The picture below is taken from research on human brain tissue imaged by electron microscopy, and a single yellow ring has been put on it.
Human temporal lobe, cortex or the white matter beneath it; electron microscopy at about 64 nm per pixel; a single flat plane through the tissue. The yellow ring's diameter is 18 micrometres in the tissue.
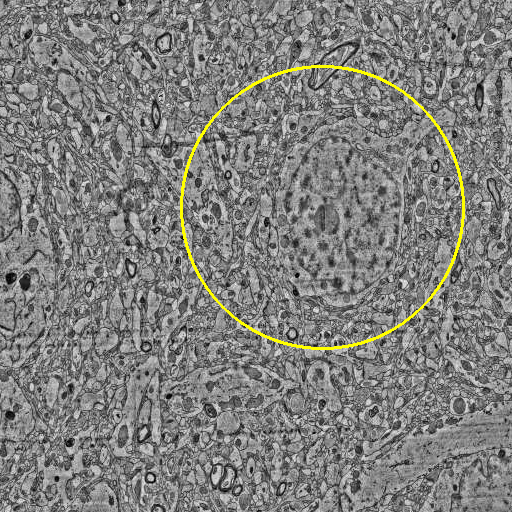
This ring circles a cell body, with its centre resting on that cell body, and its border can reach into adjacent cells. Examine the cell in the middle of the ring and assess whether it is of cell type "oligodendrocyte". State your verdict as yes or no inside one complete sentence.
No, in the picture, the cell lying at the centre of the ring is of a different type.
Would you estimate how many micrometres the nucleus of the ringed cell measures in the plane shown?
In this plane the nucleus is about 10 micrometres by 7.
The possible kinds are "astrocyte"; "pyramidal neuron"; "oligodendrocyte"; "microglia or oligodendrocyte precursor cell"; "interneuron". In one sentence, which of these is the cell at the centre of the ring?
It is an interneuron at the centre of the ring.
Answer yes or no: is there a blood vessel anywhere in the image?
No, there is no blood vessel.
